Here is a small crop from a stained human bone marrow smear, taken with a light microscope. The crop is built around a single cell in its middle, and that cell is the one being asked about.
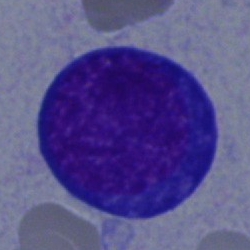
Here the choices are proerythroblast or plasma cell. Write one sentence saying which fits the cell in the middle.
The middle of this crop holds a proerythroblast.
